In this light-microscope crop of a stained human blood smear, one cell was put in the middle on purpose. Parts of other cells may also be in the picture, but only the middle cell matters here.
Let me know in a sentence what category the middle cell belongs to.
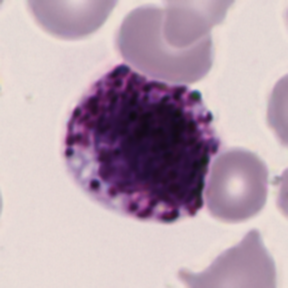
Among the cells in view, the one in the middle is a basophil.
